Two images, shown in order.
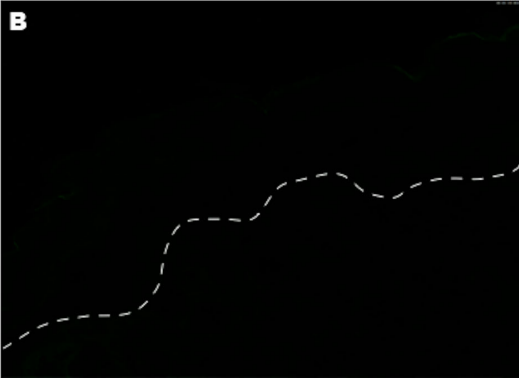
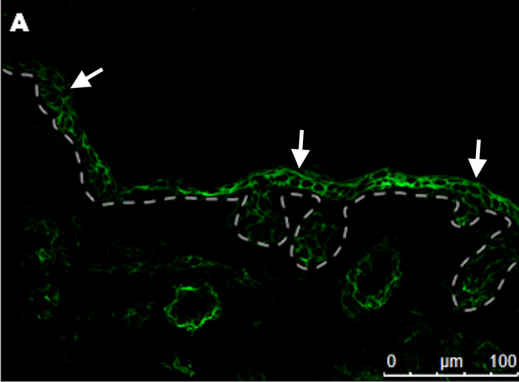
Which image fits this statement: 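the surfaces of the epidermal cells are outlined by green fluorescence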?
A: the second image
